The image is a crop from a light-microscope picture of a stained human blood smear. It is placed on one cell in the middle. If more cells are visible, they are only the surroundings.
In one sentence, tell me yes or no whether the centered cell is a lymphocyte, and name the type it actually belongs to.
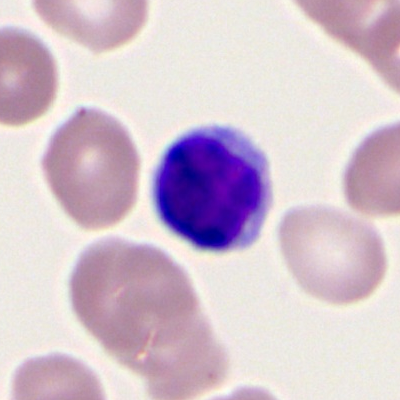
Yes, that middle cell in the crop is a lymphocyte.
